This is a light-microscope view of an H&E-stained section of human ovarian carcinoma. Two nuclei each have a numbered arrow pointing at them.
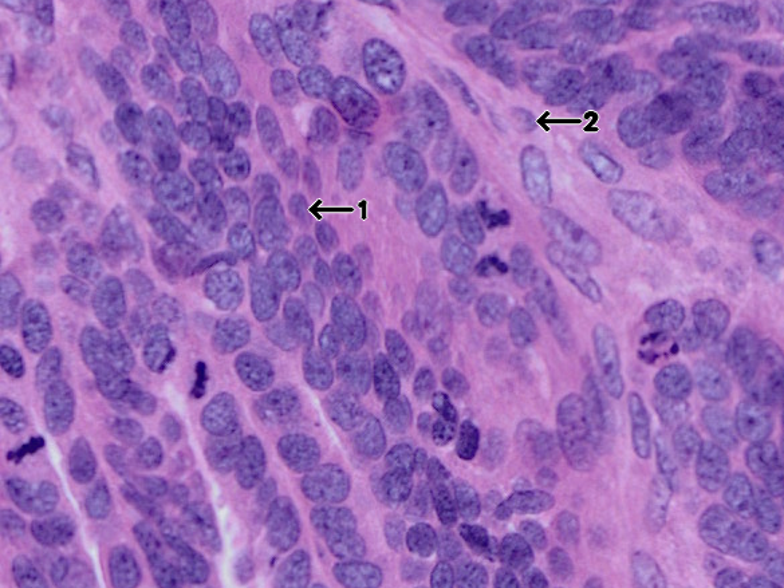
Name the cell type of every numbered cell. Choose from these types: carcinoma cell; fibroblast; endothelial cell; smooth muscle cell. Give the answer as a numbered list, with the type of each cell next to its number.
1. carcinoma cell
2. fibroblast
